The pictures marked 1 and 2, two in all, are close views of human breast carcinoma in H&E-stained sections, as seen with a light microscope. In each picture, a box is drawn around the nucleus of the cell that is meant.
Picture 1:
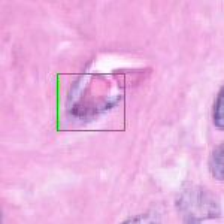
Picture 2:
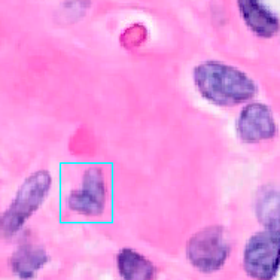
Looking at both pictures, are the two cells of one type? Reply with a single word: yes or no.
yes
